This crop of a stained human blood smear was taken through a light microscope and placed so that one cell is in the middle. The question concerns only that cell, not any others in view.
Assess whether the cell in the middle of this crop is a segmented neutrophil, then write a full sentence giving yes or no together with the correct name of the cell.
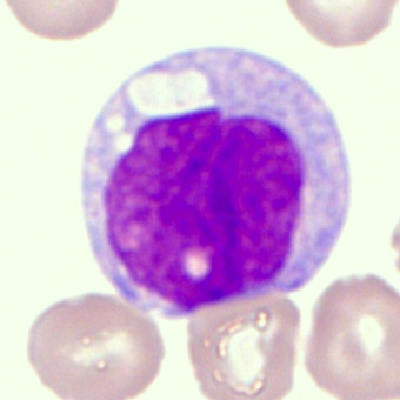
No, that would be a monocyte, not a segmented neutrophil, for the cell at the centre.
